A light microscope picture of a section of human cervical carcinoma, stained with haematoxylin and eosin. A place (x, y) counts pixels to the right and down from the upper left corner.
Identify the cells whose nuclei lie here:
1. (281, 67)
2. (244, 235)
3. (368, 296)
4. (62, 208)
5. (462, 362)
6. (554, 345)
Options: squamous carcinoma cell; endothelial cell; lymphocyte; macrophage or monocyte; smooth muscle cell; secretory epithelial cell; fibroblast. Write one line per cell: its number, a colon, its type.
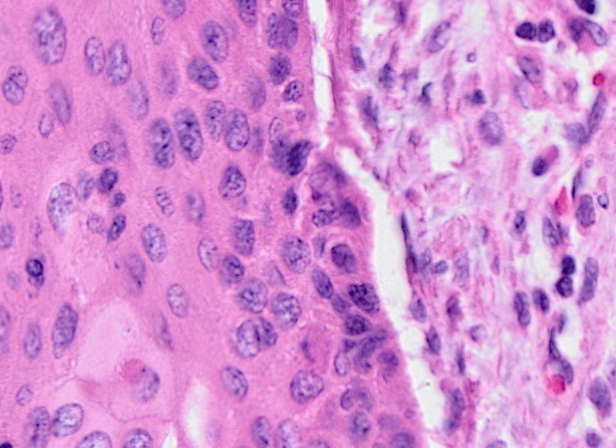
1: squamous carcinoma cell
2: squamous carcinoma cell
3: squamous carcinoma cell
4: squamous carcinoma cell
5: fibroblast
6: endothelial cell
